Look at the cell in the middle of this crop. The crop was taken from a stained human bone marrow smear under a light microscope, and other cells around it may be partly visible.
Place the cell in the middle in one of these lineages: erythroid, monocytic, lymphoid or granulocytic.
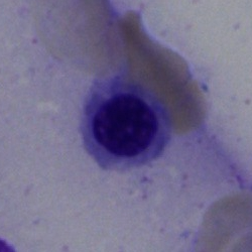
erythroid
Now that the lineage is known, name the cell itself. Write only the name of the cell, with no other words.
erythroblast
